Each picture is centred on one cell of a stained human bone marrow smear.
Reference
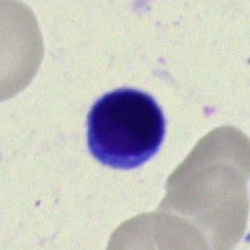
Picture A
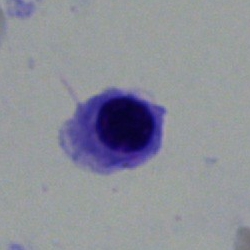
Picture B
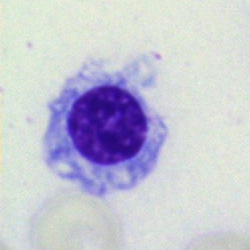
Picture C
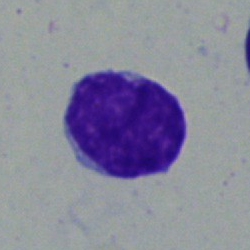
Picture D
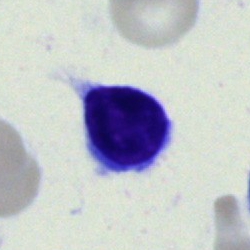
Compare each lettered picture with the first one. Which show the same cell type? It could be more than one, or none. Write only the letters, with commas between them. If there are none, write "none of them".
C, D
